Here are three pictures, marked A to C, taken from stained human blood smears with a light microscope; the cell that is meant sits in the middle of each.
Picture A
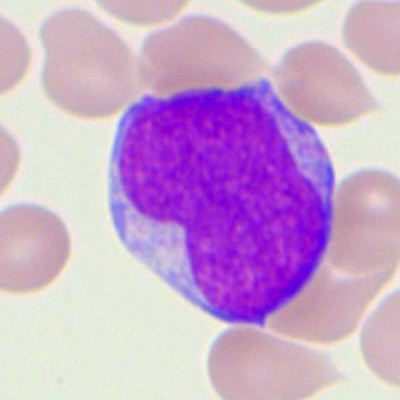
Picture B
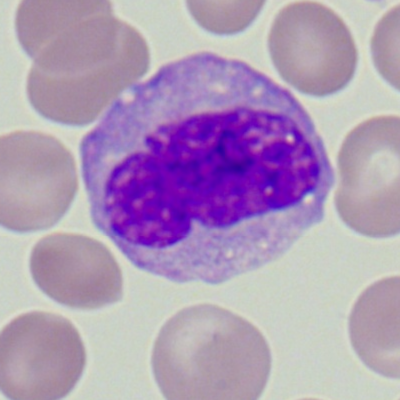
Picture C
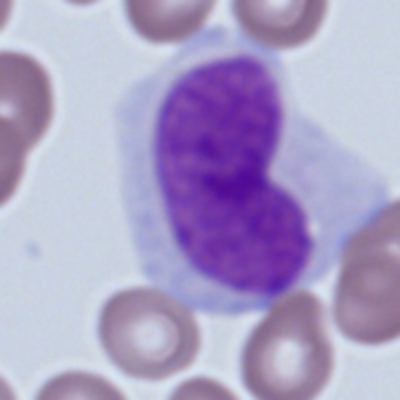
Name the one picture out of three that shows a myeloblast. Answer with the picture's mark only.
A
